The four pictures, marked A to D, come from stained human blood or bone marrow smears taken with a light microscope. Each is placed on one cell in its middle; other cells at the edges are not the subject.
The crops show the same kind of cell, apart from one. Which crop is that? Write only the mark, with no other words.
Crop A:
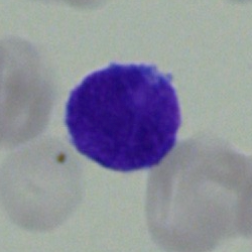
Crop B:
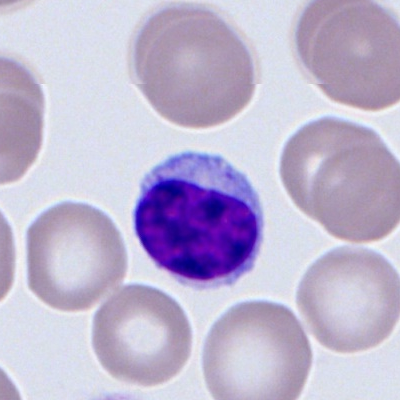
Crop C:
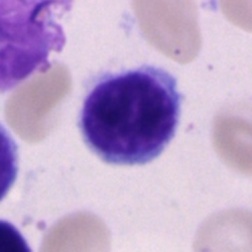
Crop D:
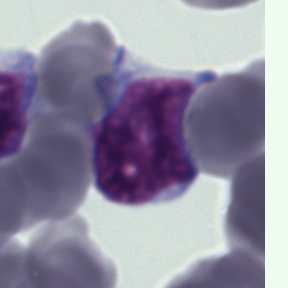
A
